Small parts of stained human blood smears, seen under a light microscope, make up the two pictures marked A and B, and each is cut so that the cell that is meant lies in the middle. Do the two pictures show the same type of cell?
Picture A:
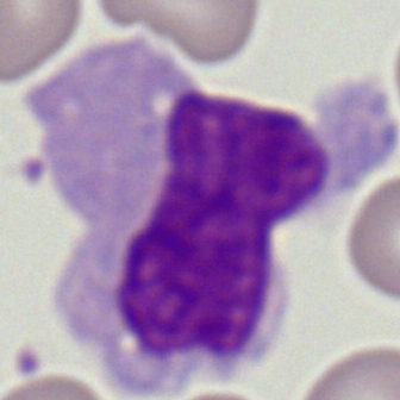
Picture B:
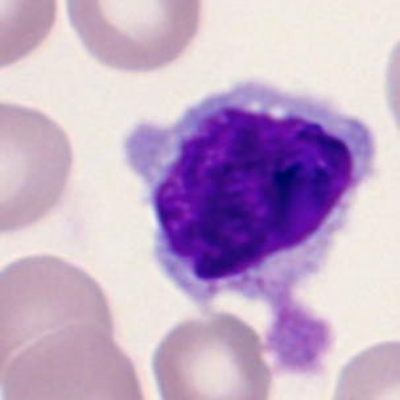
no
